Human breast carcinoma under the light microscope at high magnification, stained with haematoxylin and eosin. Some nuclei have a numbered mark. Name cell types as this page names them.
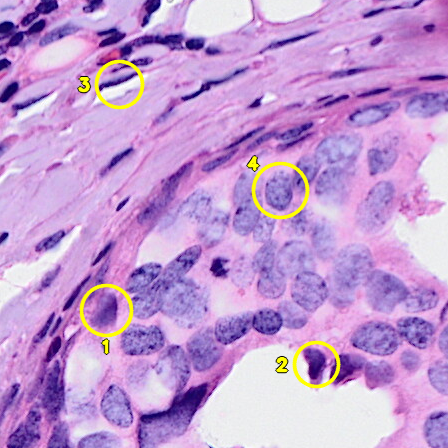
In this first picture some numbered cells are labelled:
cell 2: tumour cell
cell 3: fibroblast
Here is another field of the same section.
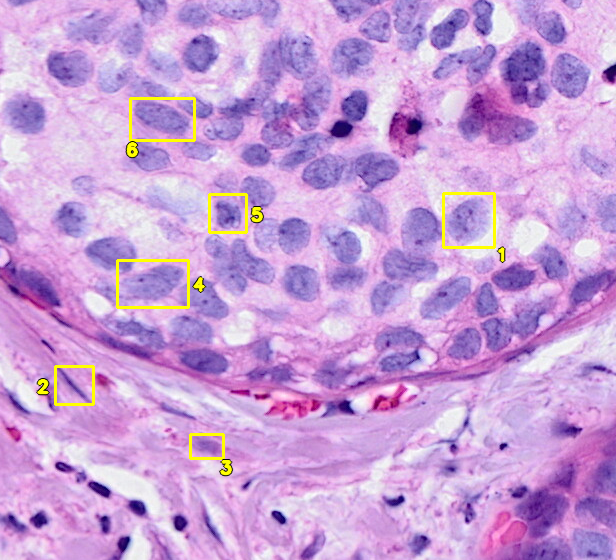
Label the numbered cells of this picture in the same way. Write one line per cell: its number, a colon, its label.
1: tumour cell
2: fibroblast
3: fibroblast
4: tumour cell
5: tumour cell
6: tumour cell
